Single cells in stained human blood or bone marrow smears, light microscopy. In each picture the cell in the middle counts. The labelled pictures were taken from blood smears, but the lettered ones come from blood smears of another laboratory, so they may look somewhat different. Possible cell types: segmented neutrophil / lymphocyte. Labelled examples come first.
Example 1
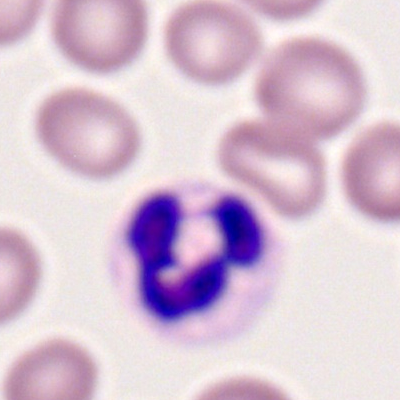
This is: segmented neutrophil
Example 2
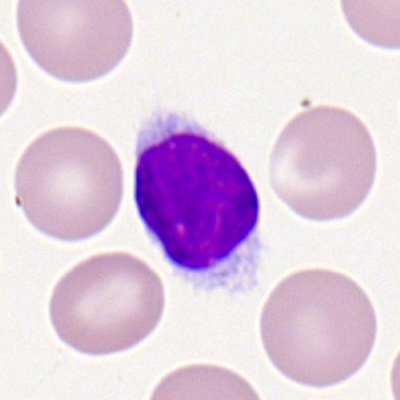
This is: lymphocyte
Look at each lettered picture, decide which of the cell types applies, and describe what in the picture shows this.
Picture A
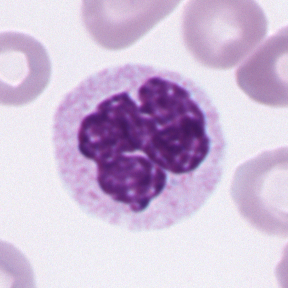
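segmented neutrophil: The cytoplasm is pale pink.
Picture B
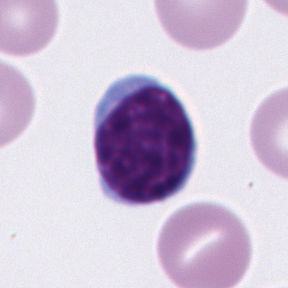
lymphocyte: The cytoplasm is scant and is widest as a crescent at the upper left.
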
